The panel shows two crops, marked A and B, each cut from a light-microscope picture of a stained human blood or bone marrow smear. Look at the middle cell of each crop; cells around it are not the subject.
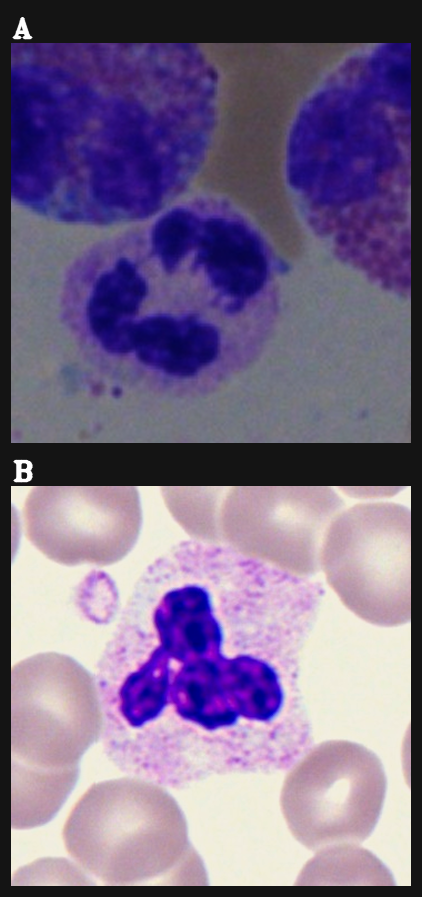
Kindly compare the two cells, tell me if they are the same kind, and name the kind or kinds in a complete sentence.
Yes, both crops show segmented neutrophils, each crop centred on one of them.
